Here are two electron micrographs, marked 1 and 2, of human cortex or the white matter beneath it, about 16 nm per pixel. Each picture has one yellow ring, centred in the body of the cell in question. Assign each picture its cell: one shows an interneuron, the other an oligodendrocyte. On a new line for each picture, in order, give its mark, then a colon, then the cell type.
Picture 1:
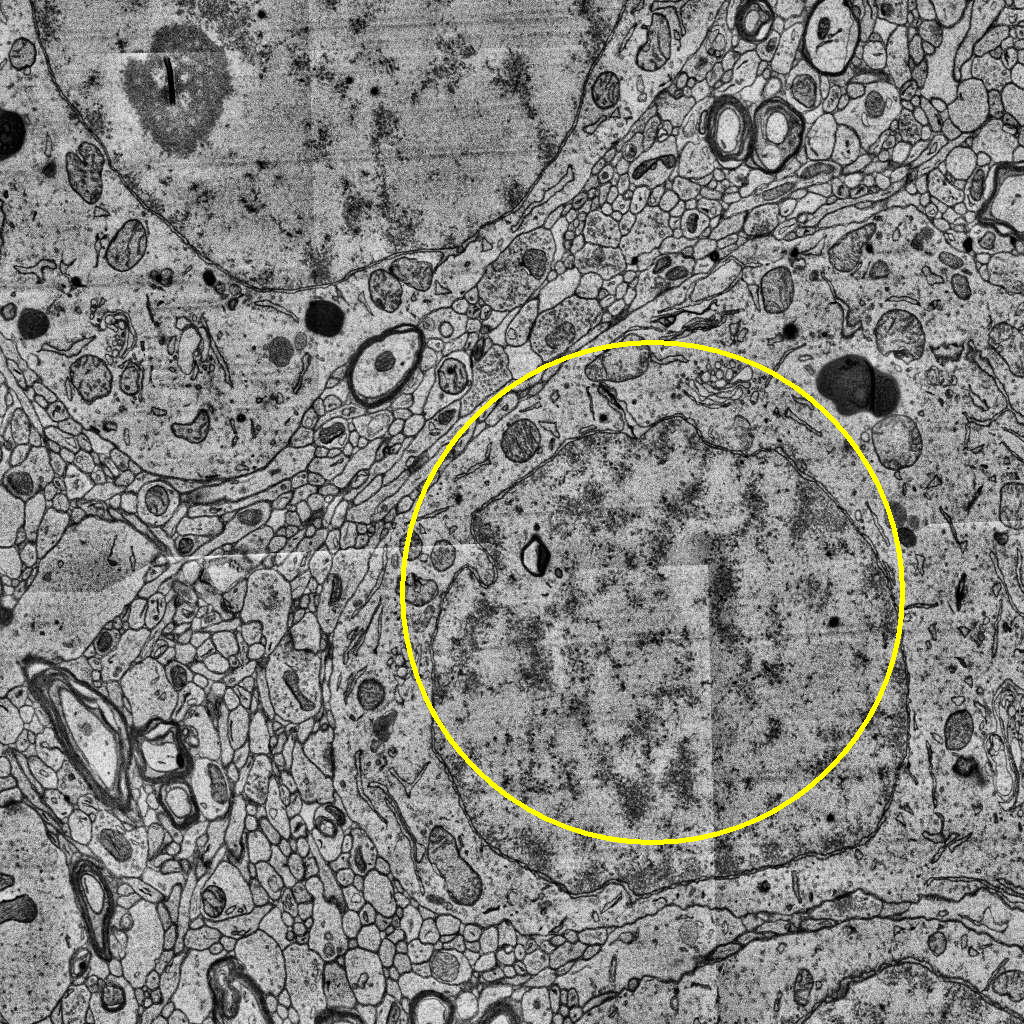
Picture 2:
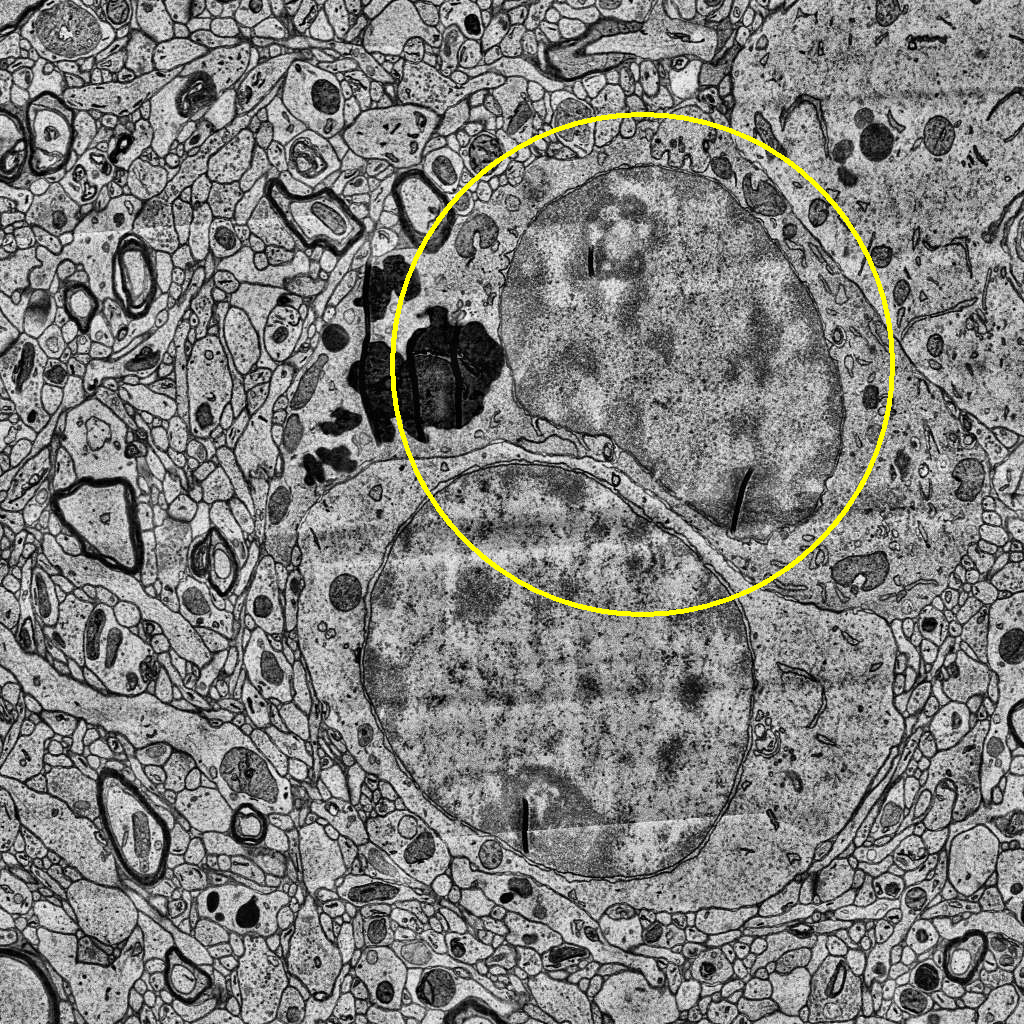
1: interneuron
2: oligodendrocyte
